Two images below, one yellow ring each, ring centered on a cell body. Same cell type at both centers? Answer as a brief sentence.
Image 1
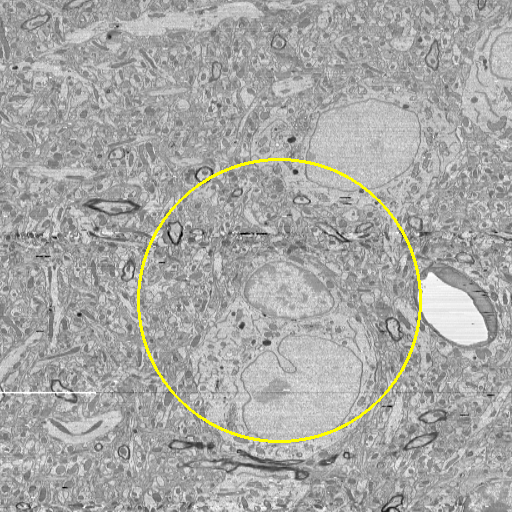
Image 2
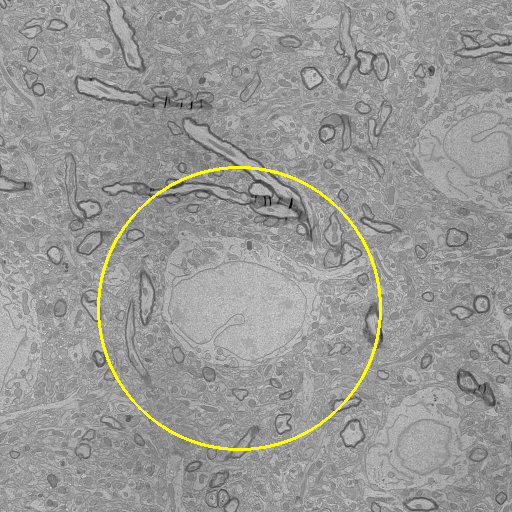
No, the cells are of two separate types.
